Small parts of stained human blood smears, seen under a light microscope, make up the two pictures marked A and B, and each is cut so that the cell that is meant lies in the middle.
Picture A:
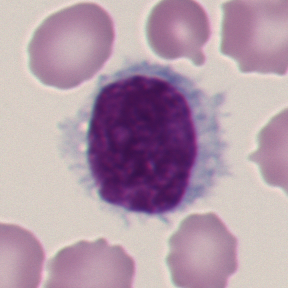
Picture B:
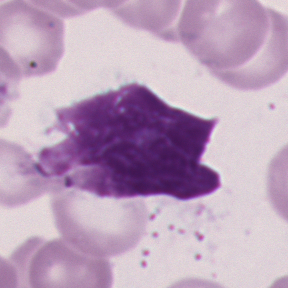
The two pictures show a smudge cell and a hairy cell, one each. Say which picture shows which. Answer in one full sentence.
Picture B shows a smudge cell, while picture A shows a hairy cell.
